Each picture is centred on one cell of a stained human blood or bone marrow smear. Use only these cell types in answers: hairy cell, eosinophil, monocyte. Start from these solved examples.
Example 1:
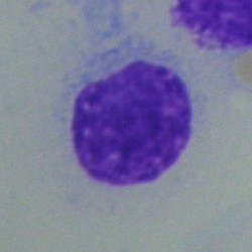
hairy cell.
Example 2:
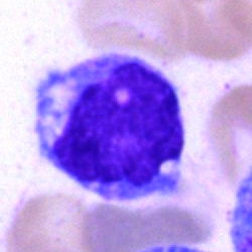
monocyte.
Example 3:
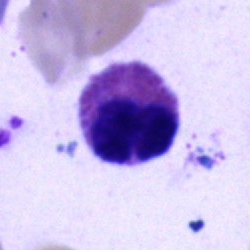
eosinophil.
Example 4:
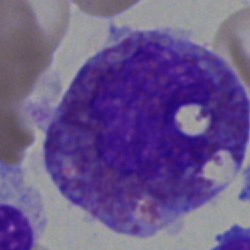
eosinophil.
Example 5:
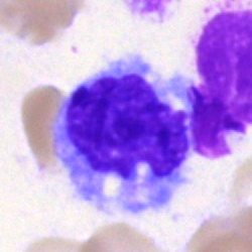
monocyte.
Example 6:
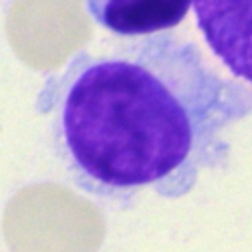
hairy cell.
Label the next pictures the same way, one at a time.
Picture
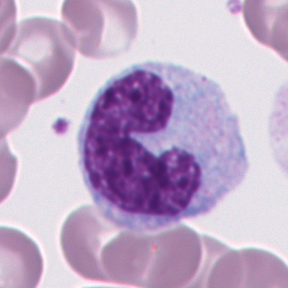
monocyte.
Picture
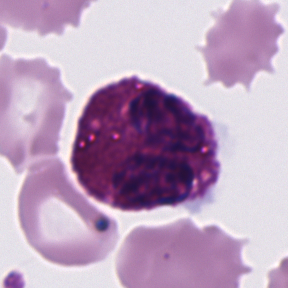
eosinophil.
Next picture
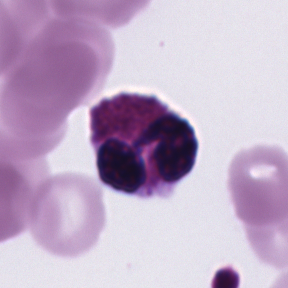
eosinophil.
